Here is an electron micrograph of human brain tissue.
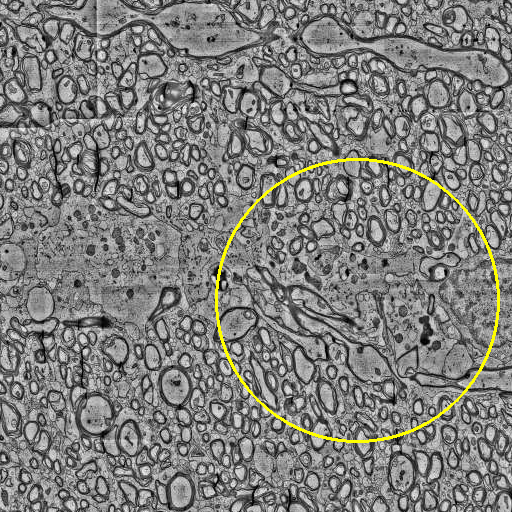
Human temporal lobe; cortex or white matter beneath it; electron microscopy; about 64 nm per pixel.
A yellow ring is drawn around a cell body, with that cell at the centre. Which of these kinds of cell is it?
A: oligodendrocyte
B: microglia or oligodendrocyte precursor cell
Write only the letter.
B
